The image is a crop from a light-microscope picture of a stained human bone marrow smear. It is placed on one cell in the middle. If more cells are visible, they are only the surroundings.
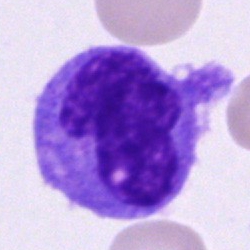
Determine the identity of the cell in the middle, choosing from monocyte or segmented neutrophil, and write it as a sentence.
In this crop, the cell at the very middle is a monocyte.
